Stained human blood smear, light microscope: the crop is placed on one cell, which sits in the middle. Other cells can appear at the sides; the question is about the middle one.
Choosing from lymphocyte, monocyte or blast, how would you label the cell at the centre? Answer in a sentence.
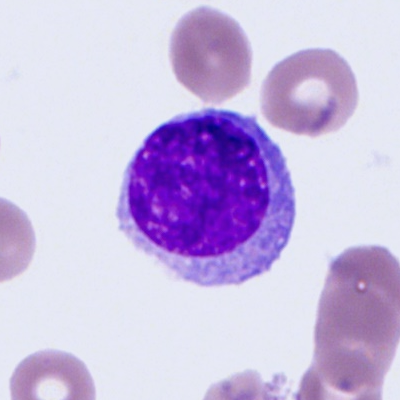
Within this crop, a lymphocyte occupies the central position.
